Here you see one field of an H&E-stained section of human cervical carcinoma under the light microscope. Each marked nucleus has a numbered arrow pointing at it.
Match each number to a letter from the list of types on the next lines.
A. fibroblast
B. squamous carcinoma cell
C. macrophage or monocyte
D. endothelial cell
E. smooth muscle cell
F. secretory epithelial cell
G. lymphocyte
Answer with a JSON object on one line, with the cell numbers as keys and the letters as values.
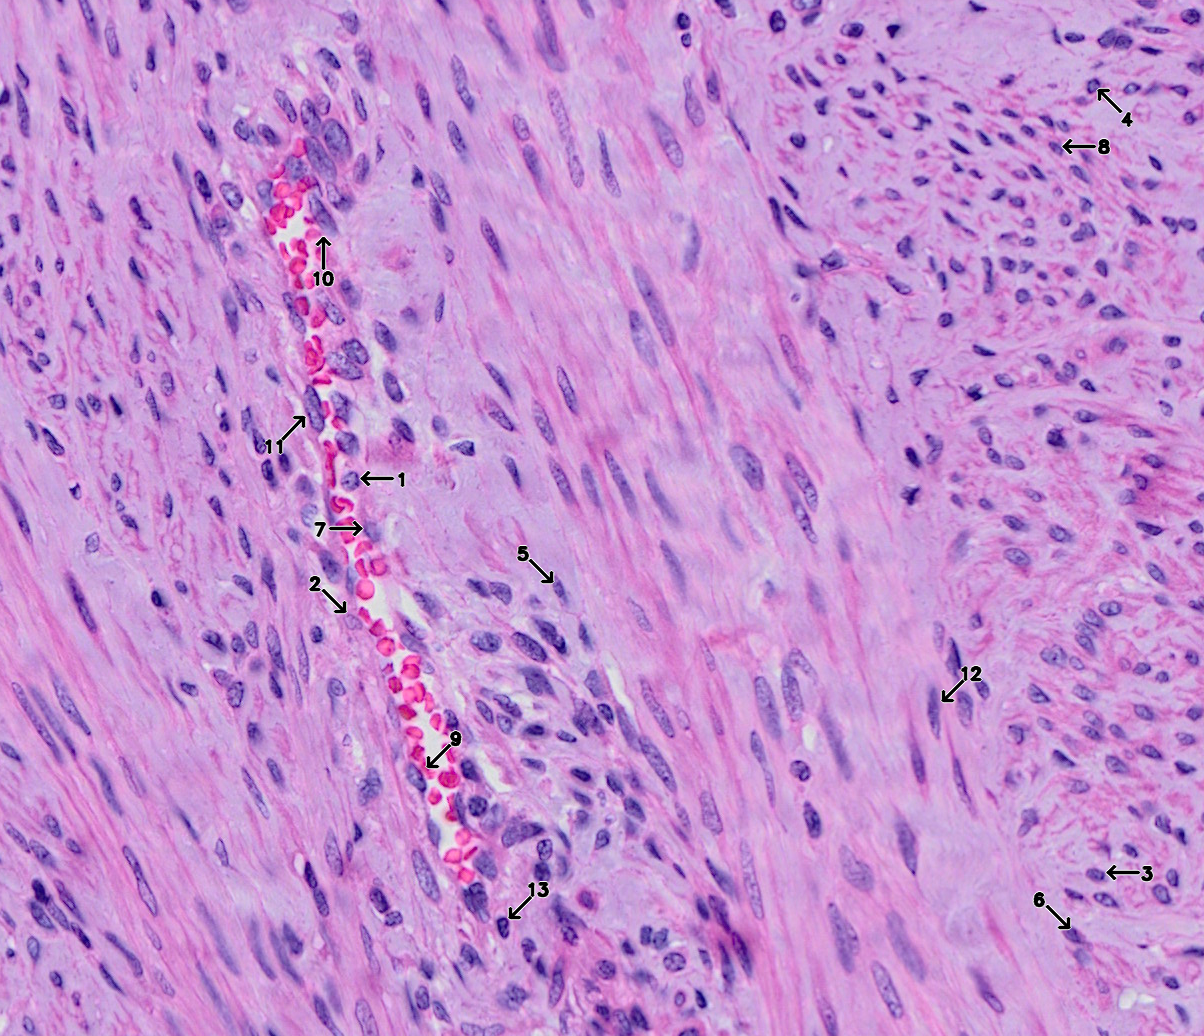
{"1": "D", "2": "D", "3": "E", "4": "E", "5": "A", "6": "E", "7": "D", "8": "E", "9": "D", "10": "D", "11": "D", "12": "A", "13": "G"}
